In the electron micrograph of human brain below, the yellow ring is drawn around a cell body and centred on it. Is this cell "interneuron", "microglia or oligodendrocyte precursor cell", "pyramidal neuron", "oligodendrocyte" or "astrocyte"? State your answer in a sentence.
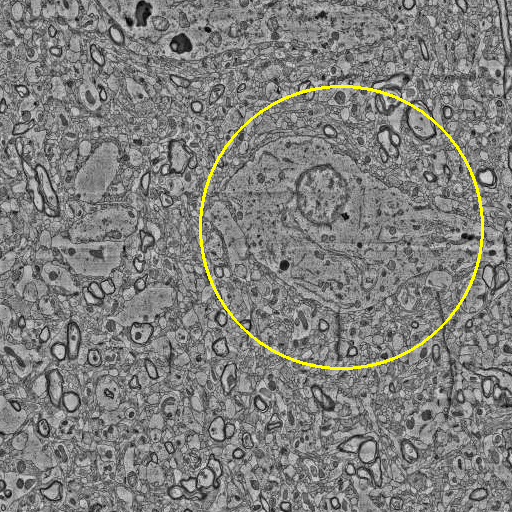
The cell in the middle of the ring is a pyramidal neuron.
